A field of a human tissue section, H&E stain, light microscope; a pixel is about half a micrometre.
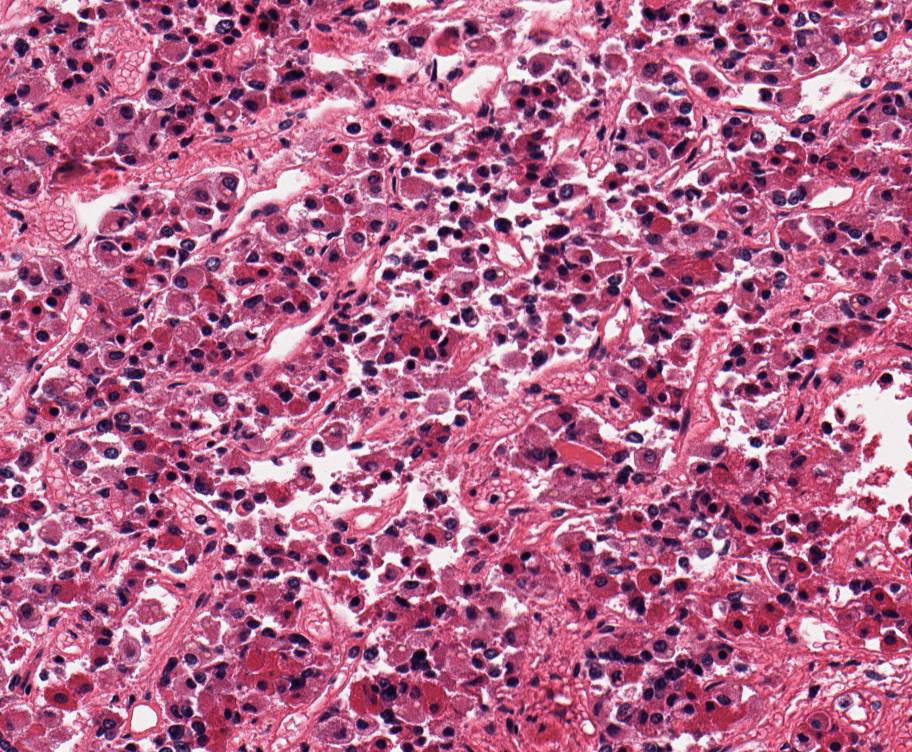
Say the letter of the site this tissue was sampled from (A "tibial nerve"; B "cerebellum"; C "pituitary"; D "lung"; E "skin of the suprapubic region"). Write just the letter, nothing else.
C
